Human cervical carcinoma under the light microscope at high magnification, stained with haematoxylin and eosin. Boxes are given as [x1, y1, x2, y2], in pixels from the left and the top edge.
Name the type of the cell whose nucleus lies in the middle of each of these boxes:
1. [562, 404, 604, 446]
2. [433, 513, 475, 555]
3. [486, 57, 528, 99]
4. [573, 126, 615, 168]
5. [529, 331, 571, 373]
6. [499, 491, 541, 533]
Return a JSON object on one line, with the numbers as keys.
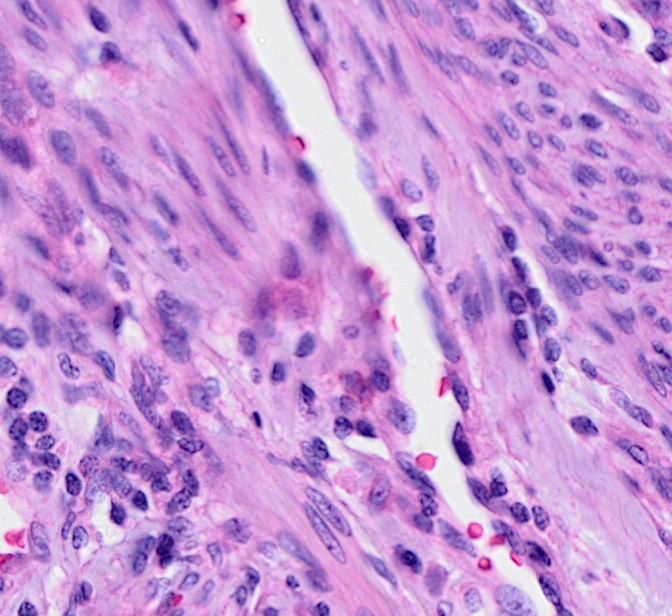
{"1": "lymphocyte", "2": "endothelial cell", "3": "smooth muscle cell", "4": "smooth muscle cell", "5": "lymphocyte", "6": "lymphocyte"}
